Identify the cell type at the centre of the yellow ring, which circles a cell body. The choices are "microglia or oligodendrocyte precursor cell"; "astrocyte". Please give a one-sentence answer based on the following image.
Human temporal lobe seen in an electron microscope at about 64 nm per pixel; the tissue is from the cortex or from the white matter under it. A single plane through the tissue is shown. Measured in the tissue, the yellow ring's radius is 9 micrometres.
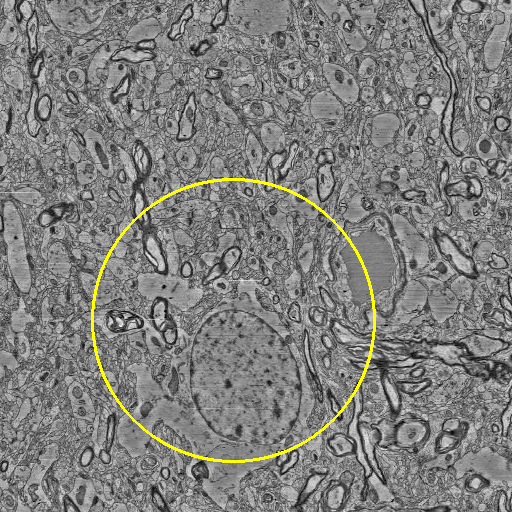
The cell marked by the ring is an astrocyte.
